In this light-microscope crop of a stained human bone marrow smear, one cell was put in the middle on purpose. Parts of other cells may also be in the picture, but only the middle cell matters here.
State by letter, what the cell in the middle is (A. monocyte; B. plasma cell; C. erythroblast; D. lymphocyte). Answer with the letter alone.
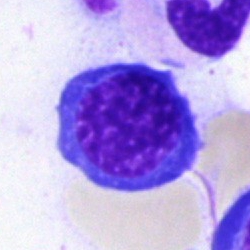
C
